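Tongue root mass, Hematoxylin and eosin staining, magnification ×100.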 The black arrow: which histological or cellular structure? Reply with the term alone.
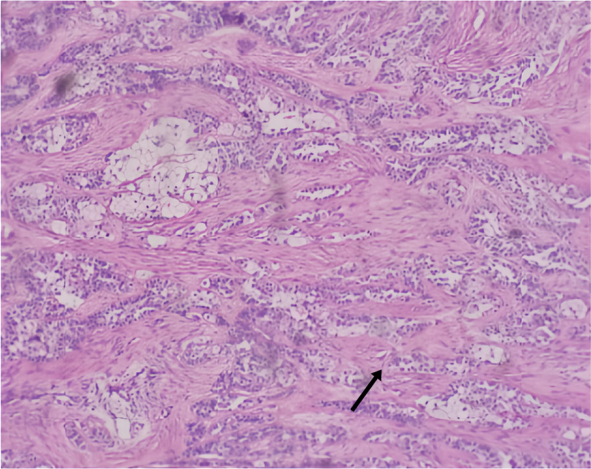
hyalinized and sclerotic fibrous mesenchyme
